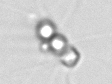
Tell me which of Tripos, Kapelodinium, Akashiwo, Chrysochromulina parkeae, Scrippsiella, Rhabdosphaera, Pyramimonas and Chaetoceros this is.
The picture shows Chaetoceros.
